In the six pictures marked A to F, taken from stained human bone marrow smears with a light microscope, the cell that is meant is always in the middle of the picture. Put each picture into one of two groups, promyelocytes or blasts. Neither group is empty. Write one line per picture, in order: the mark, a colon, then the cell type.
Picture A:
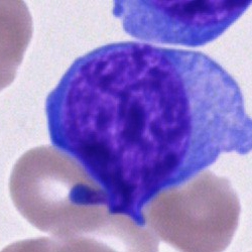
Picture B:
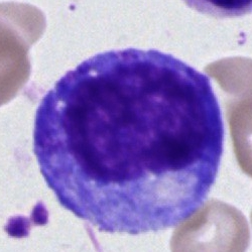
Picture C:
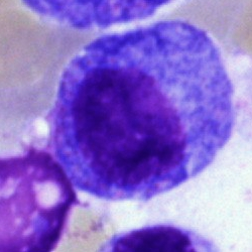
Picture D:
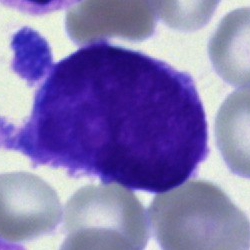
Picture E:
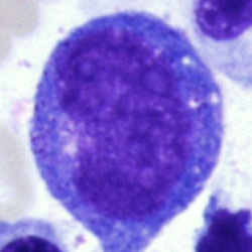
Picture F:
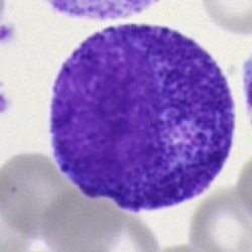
A: blast
B: promyelocyte
C: promyelocyte
D: blast
E: promyelocyte
F: promyelocyte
